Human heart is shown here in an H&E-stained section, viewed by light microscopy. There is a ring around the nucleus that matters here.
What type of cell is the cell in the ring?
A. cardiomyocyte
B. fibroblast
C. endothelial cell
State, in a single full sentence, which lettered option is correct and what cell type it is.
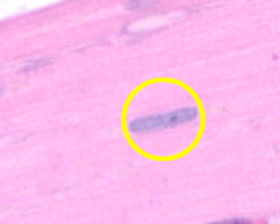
The statement that the cell in the ring is a cardiomyocyte corresponds to option A, the correct one.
